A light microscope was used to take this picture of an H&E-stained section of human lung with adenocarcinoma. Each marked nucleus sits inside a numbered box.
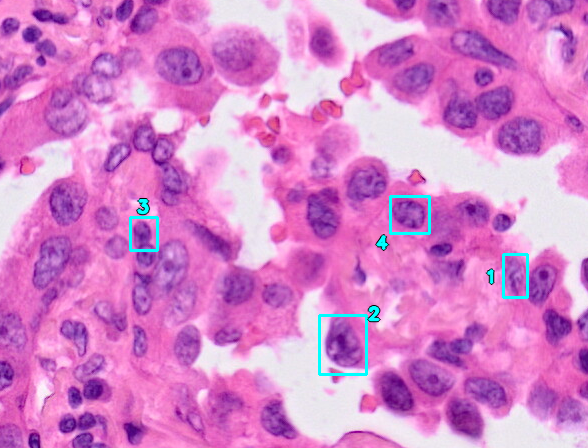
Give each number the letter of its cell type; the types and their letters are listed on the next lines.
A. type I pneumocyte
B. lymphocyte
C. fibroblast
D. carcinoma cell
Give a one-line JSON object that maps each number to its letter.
{"1": "D", "2": "D", "3": "B", "4": "D"}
